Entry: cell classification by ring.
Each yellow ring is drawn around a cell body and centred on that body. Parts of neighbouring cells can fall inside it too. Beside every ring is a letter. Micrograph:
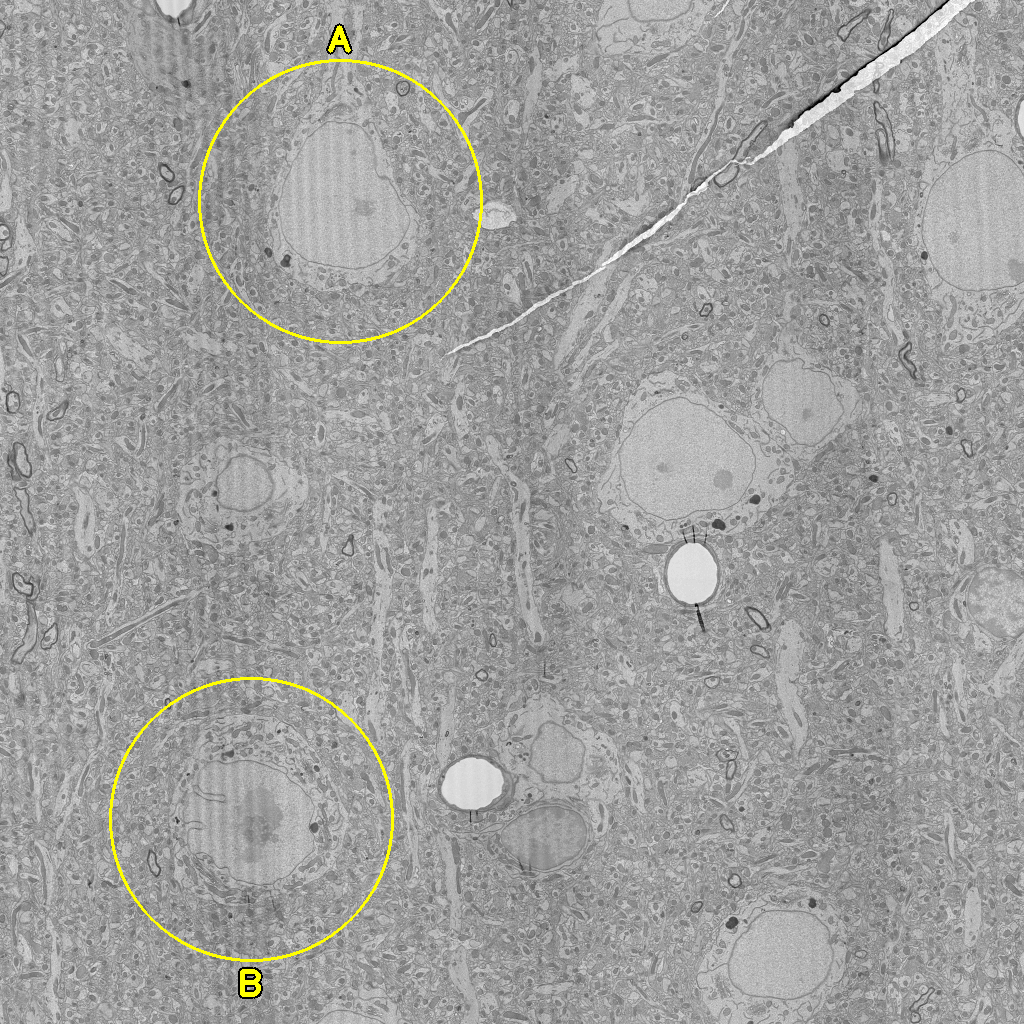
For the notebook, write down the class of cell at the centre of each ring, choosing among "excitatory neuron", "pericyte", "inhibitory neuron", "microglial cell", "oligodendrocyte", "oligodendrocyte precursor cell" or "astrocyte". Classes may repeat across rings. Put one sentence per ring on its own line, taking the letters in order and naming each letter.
Ring A marks an excitatory neuron.
Ring B marks an inhibitory neuron.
